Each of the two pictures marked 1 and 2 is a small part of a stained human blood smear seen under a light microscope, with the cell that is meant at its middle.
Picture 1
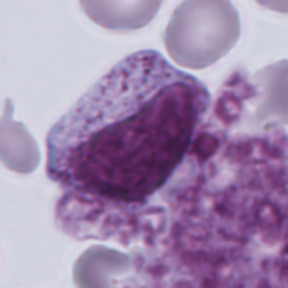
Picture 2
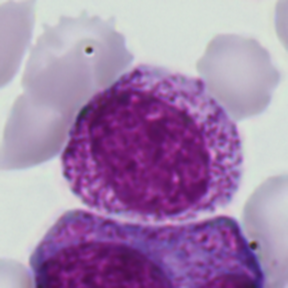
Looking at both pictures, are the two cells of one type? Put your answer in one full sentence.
No, picture 1 shows a metamyelocyte and picture 2 shows a myelocyte.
